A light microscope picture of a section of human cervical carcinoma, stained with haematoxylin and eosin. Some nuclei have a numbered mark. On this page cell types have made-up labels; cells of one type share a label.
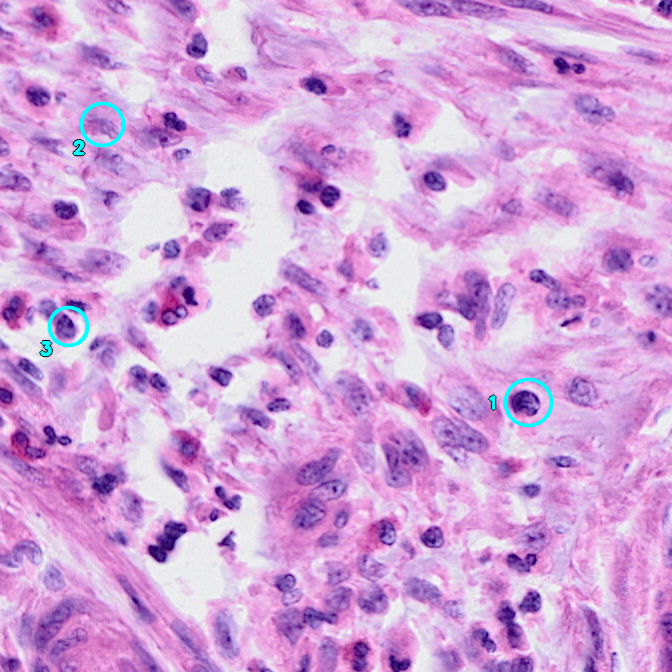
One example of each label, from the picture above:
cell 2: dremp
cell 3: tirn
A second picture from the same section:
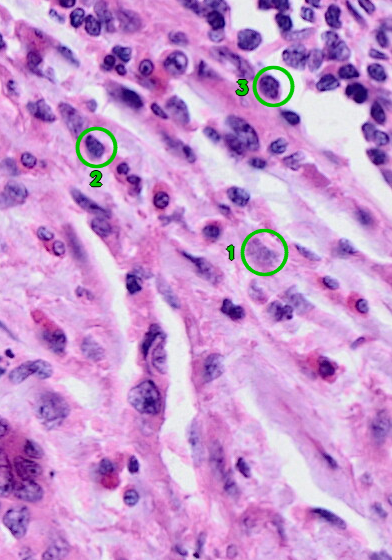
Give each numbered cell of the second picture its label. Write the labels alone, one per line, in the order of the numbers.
dremp
tirn
tirn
